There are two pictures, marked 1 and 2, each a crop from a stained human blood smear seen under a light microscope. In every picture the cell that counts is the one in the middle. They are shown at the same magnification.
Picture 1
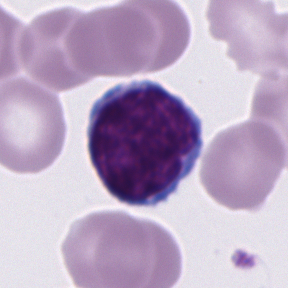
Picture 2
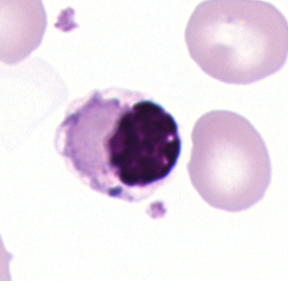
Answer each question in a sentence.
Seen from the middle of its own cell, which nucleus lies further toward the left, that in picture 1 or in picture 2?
Seen within its cell, the nucleus in picture 1 lies further toward the left.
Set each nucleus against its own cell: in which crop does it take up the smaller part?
Of the two, the nucleus in picture 2 leaves more room for cytoplasm.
